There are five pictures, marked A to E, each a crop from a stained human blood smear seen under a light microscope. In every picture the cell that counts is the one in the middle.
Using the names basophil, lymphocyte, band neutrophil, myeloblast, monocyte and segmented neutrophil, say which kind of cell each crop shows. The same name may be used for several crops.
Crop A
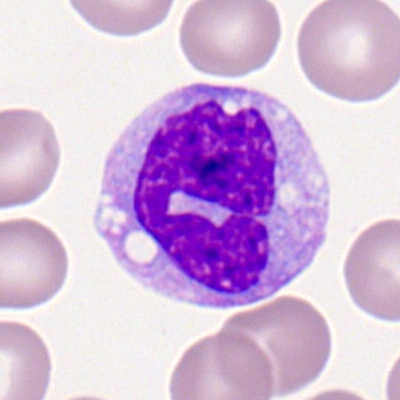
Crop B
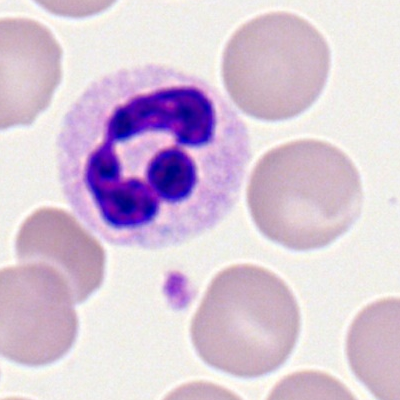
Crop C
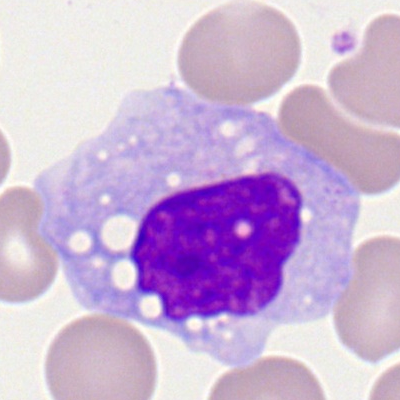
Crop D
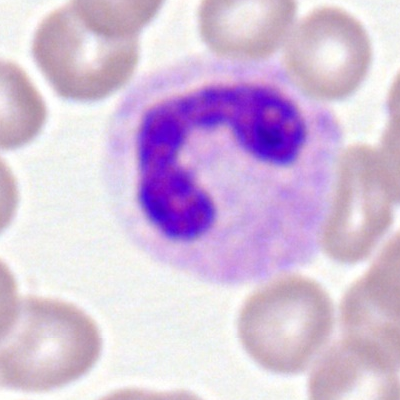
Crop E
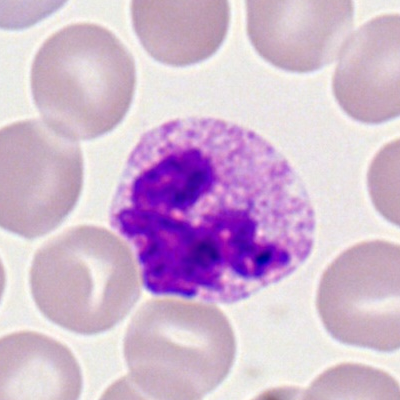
A: monocyte
B: segmented neutrophil
C: monocyte
D: band neutrophil
E: basophil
